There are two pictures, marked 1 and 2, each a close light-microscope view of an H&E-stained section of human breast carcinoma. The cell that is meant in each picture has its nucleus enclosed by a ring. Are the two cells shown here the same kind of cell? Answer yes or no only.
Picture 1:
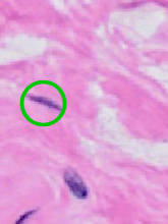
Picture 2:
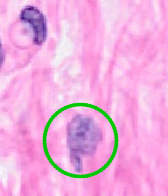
yes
